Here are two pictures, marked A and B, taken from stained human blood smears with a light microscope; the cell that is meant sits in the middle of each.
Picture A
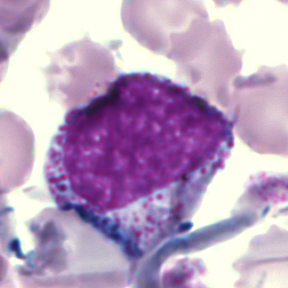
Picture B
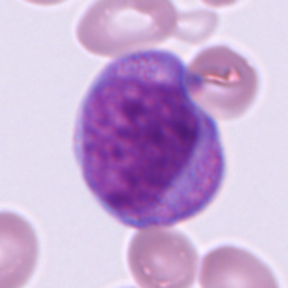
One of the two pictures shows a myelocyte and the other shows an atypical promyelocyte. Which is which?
A: myelocyte
B: atypical promyelocyte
